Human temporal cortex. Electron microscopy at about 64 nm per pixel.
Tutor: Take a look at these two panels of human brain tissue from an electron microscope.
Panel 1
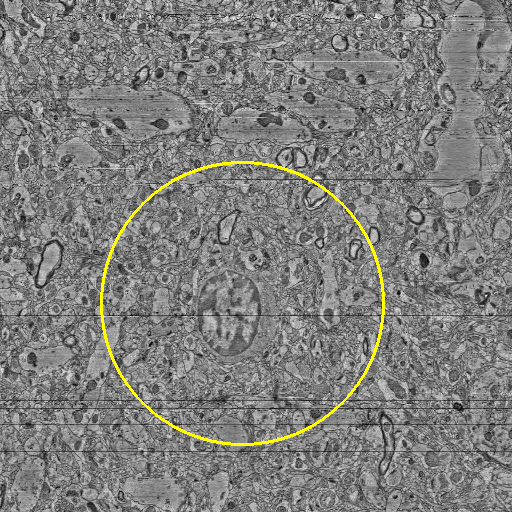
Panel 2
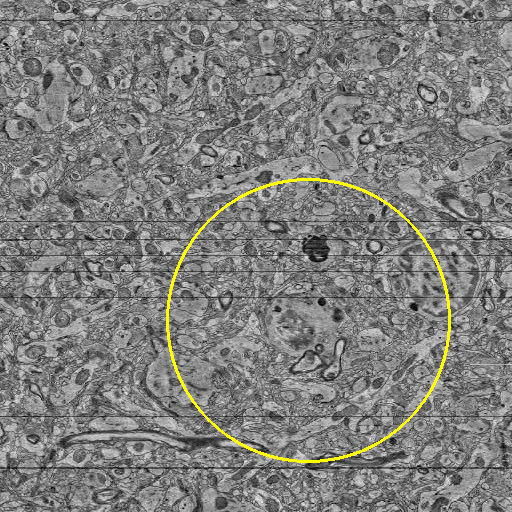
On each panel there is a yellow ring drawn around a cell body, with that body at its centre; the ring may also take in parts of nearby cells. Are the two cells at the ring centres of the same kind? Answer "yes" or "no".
yes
